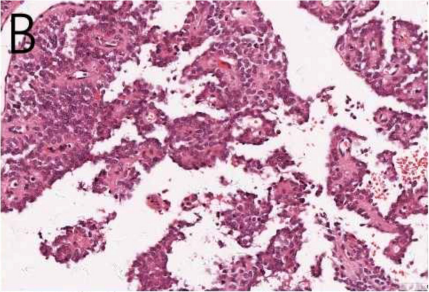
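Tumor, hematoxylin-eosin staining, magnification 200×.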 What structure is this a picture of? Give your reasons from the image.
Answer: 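Pseudo-papillary. Finger-like fronds of tumor cells project into empty spaces. Cells cling around thin central cores with loss of cohesion between fronds.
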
